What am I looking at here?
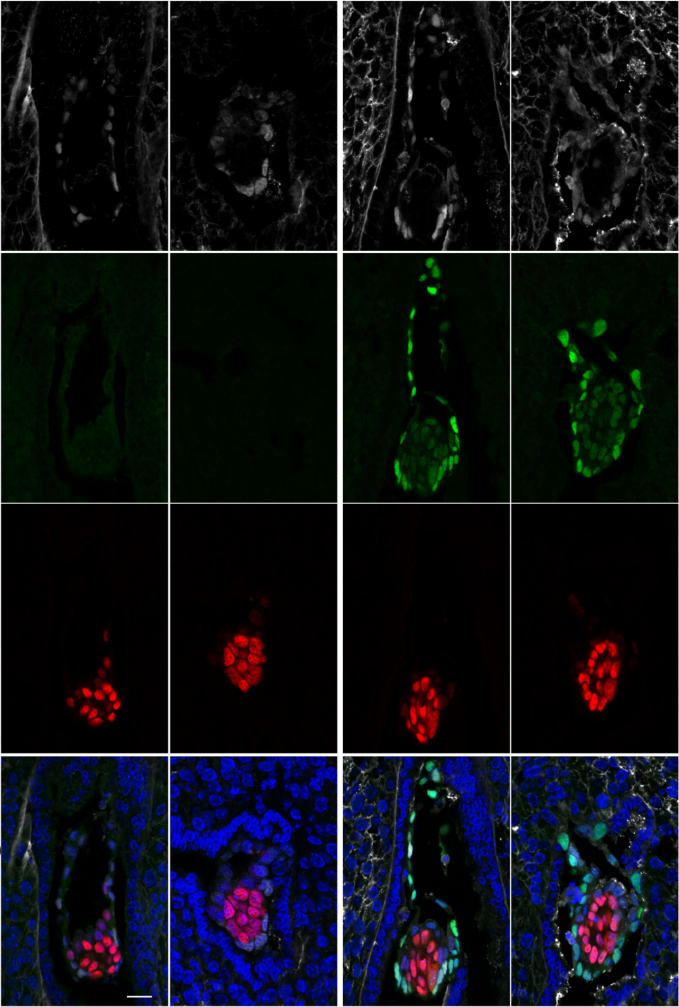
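These are sections through early post-implantation embryos lying within the uterus, each shown as a column of separate channels and a merged image. Each embryo is an elongated, cylinder-shaped structure set among densely packed uterine cells whose nuclei appear blue in the merged images. At the far end of each embryo lies a compact, rounded cluster of cells with large, closely packed nuclei that are stained red. A thin layer of flatter cells covers the outside of the embryo and extends along it toward the other end. In two of the columns the green nuclear stain is bright in this outer layer and weaker within the red-stained cluster, while in the other two columns green stain is nearly absent.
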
